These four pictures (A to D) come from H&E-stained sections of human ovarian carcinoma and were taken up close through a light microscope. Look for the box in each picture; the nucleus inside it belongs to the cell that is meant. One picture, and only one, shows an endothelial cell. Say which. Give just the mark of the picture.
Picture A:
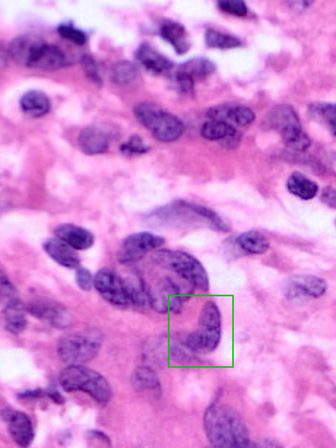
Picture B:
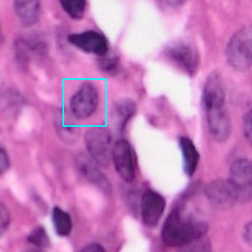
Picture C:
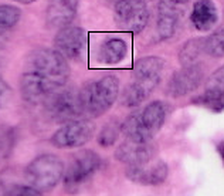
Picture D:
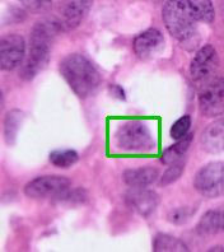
A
